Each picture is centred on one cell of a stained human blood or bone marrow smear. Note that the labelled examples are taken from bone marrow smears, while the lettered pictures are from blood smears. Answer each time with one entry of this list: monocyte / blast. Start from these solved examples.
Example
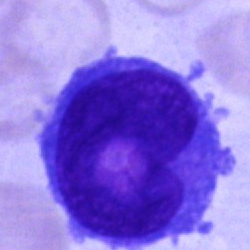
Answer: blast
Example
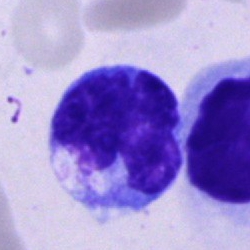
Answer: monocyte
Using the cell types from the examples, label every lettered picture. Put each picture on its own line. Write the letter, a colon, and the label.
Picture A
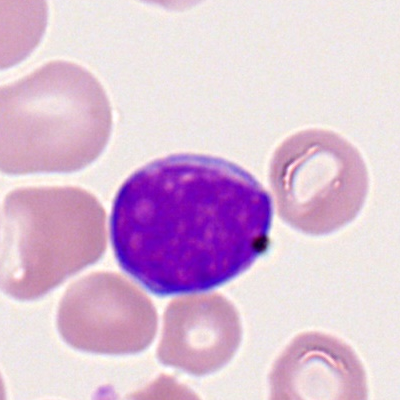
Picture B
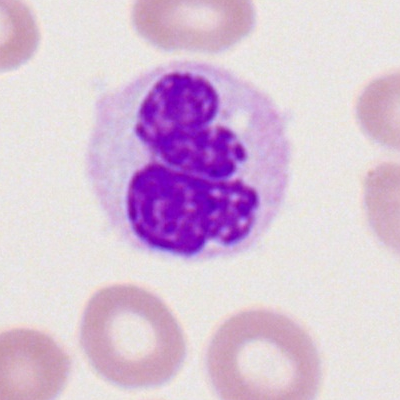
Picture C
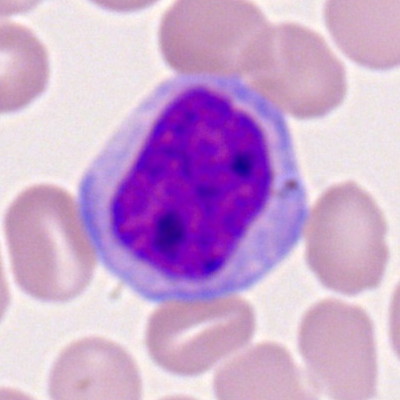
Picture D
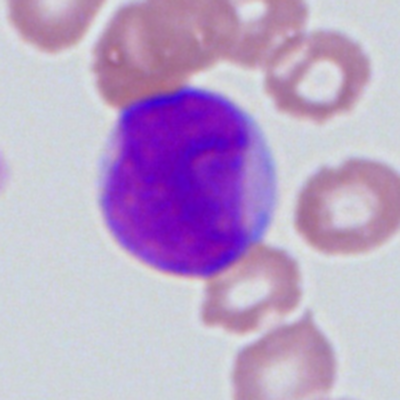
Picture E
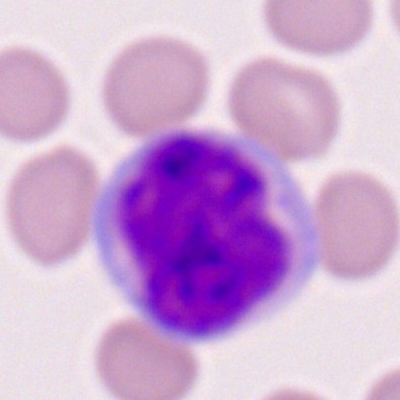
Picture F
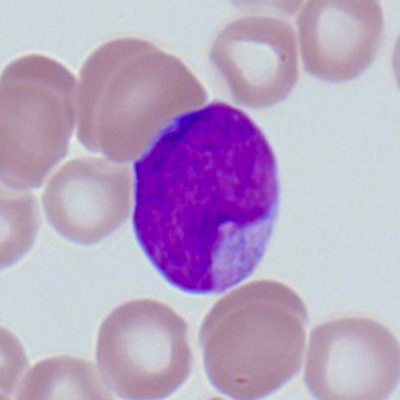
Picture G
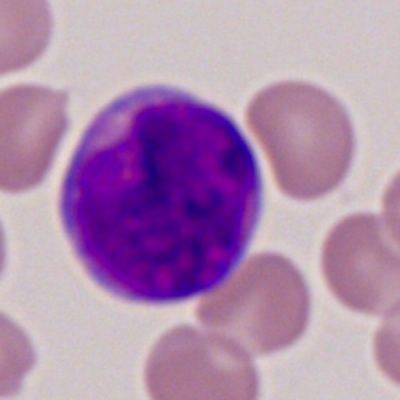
A: blast
B: monocyte
C: monocyte
D: blast
E: monocyte
F: blast
G: blast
